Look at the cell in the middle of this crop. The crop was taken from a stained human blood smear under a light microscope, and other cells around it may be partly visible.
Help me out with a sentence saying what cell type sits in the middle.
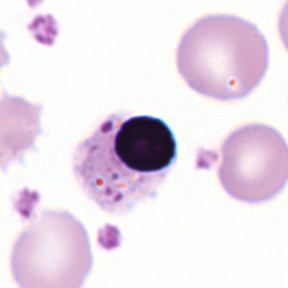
The single cell at the center of the crop is an erythroblast.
